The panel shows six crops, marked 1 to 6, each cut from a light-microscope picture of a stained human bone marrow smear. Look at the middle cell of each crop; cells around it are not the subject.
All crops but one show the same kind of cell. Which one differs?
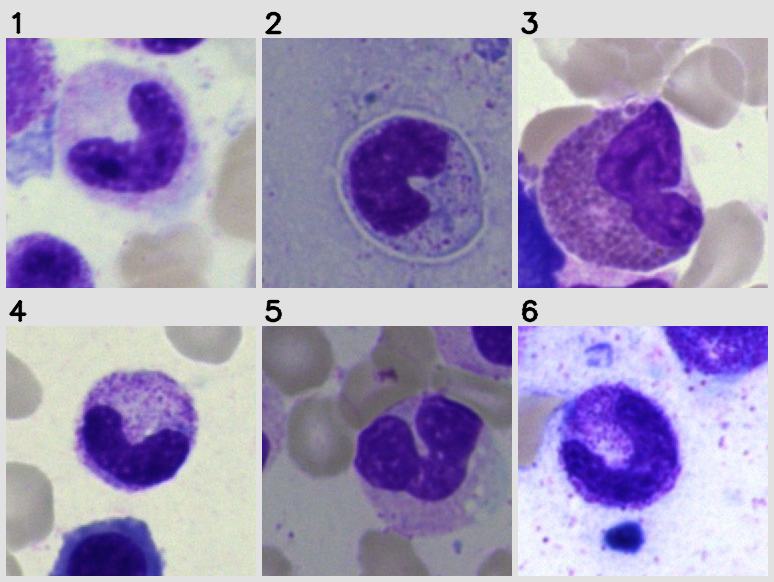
3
